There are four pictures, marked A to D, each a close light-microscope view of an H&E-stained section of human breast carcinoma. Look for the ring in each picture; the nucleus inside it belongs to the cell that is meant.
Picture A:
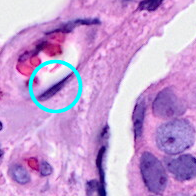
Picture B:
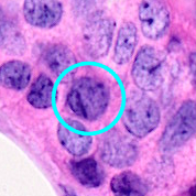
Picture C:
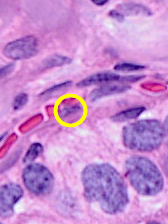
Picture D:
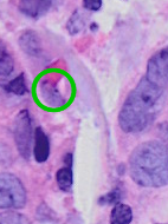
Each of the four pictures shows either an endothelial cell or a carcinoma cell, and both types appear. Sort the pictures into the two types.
A: endothelial cell
B: carcinoma cell
C: endothelial cell
D: endothelial cell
